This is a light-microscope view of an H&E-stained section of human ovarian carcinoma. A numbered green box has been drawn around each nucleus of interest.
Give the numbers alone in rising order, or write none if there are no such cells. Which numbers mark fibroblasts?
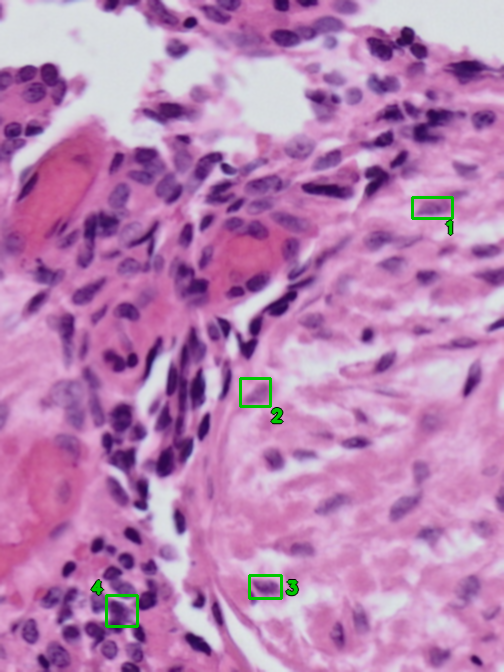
1, 2, 3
